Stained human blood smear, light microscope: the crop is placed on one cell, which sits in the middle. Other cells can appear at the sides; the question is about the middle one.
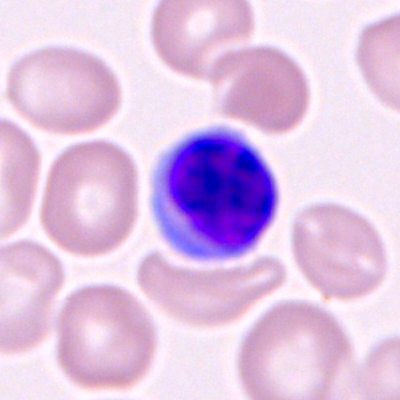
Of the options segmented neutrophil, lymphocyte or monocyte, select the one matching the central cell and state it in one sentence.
The cell featured at the centre of this crop is a lymphocyte.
